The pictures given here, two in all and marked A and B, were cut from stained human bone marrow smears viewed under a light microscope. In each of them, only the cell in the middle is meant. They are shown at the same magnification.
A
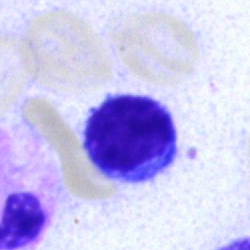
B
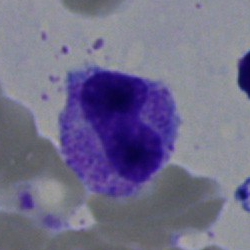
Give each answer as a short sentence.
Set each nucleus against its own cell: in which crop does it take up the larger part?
Of the two, the nucleus in crop A makes up the greater part of its cell.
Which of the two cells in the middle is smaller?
Smaller is the cell in crop A, and the other is about 1.5 times as large in area.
